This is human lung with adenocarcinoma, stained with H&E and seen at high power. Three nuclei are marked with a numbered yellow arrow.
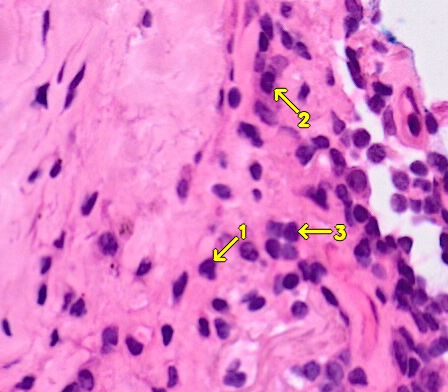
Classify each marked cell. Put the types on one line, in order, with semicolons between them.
plasma cell; plasma cell; lymphocyte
